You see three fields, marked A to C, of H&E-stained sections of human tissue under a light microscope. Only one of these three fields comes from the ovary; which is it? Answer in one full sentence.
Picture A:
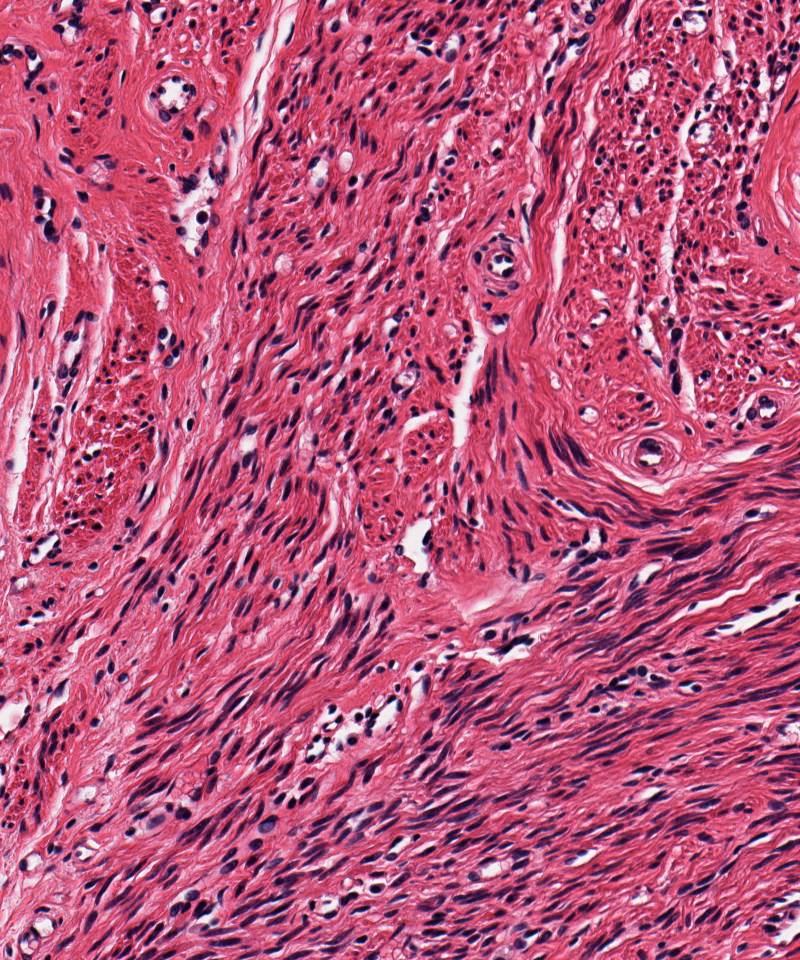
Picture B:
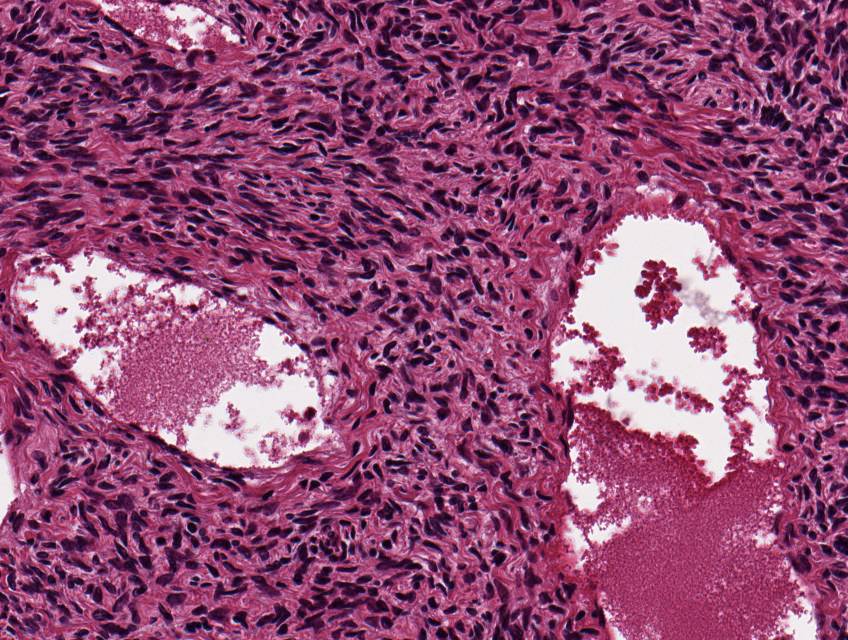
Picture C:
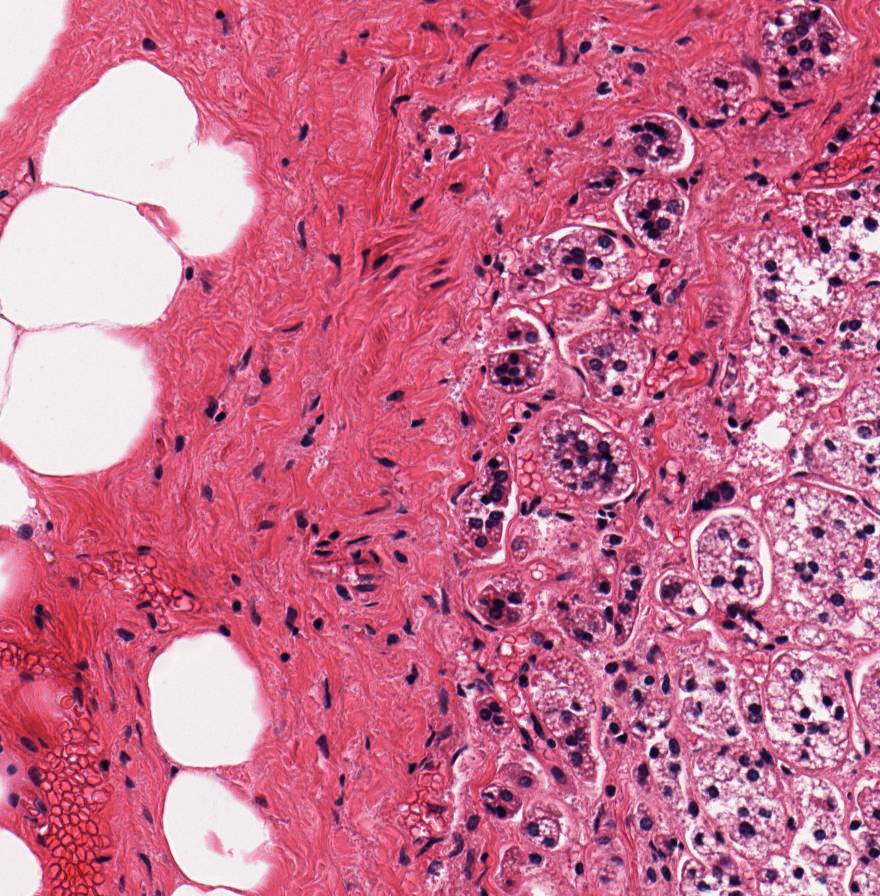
It is picture B that comes from the ovary.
